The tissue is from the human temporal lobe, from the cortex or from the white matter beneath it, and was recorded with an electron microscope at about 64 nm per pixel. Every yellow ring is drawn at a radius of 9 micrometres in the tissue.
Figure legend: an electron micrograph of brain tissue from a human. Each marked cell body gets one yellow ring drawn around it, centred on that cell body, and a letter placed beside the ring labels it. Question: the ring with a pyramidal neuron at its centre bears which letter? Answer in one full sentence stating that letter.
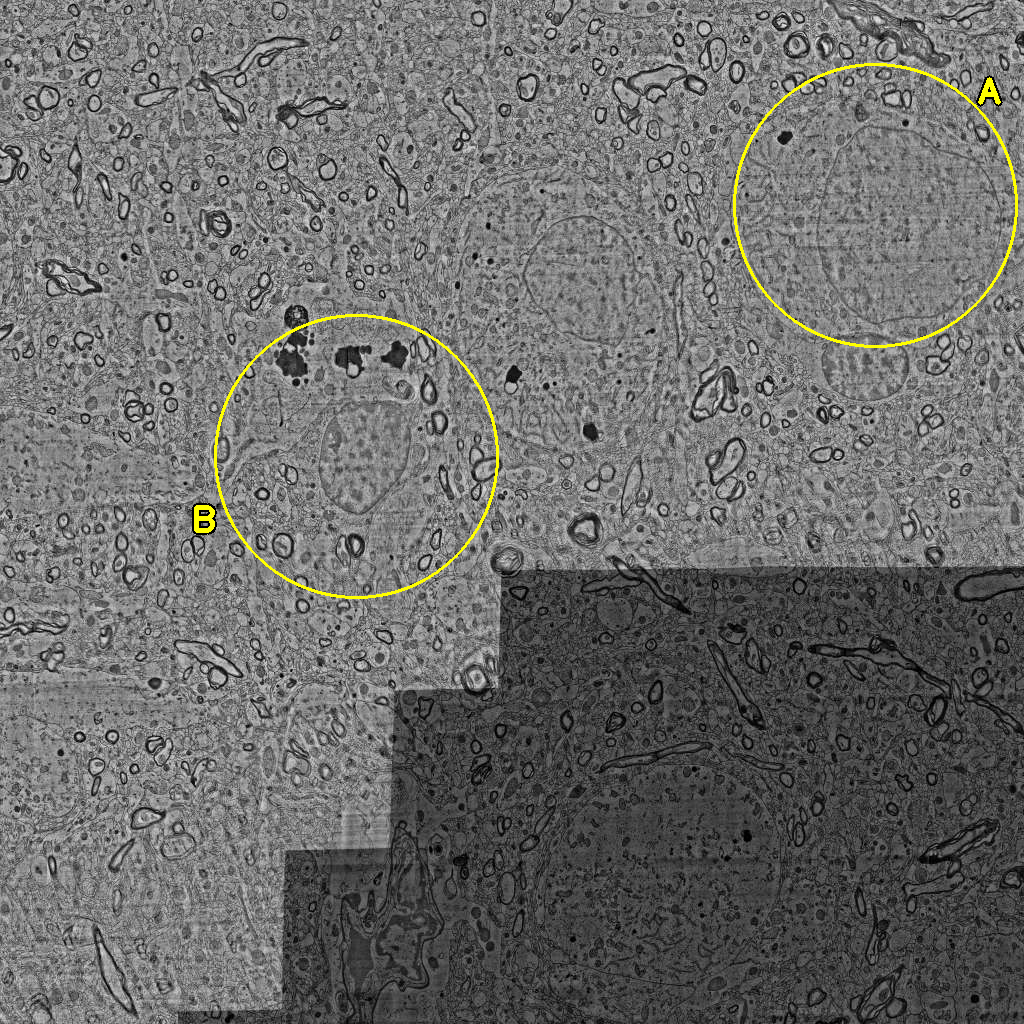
Labelled A is the ring whose centre holds the cell asked for in this picture.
